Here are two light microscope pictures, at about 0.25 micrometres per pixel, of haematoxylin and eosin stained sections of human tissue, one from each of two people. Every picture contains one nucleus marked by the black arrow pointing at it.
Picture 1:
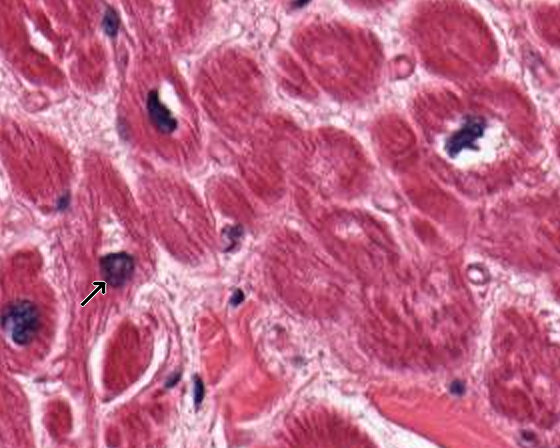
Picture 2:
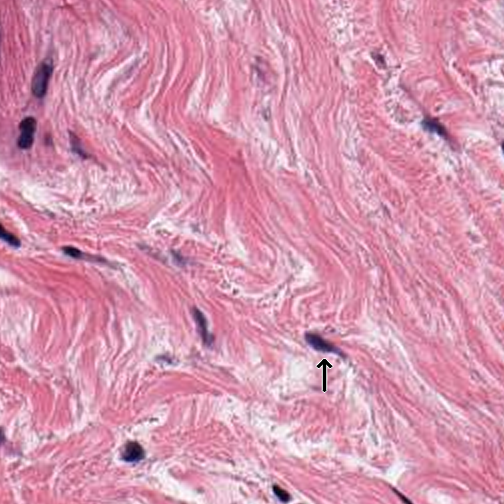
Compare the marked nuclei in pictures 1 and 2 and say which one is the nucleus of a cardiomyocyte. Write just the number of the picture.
1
